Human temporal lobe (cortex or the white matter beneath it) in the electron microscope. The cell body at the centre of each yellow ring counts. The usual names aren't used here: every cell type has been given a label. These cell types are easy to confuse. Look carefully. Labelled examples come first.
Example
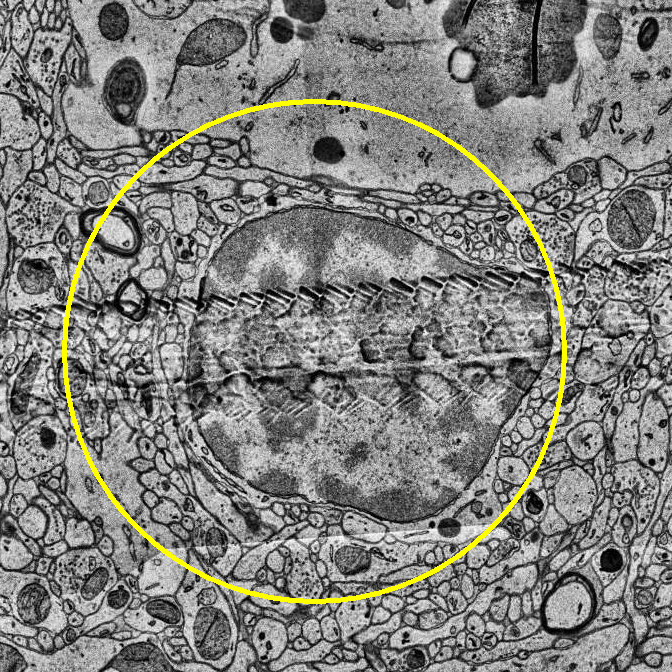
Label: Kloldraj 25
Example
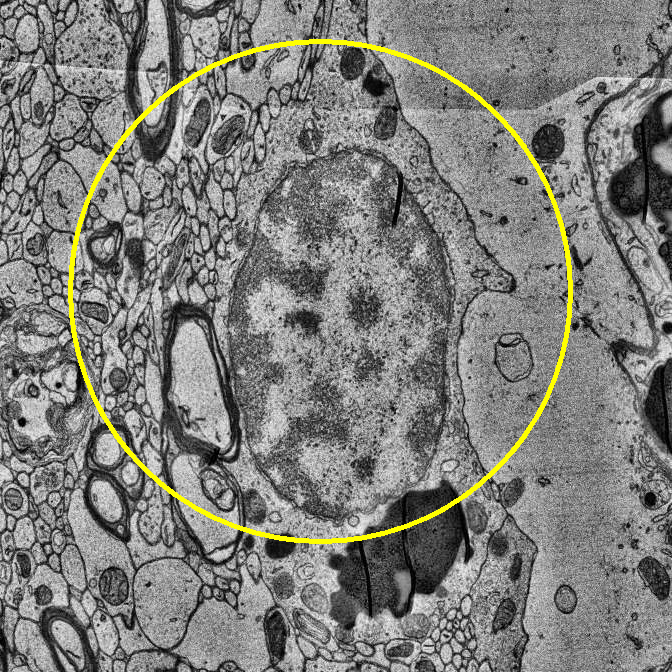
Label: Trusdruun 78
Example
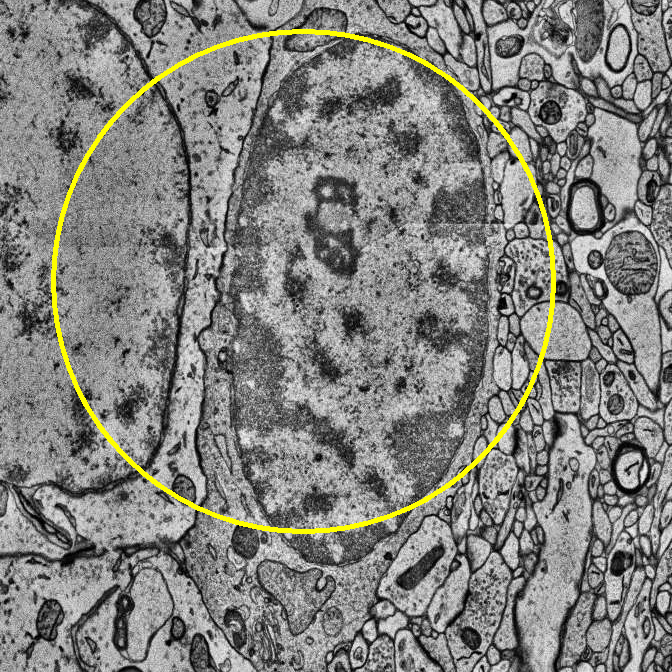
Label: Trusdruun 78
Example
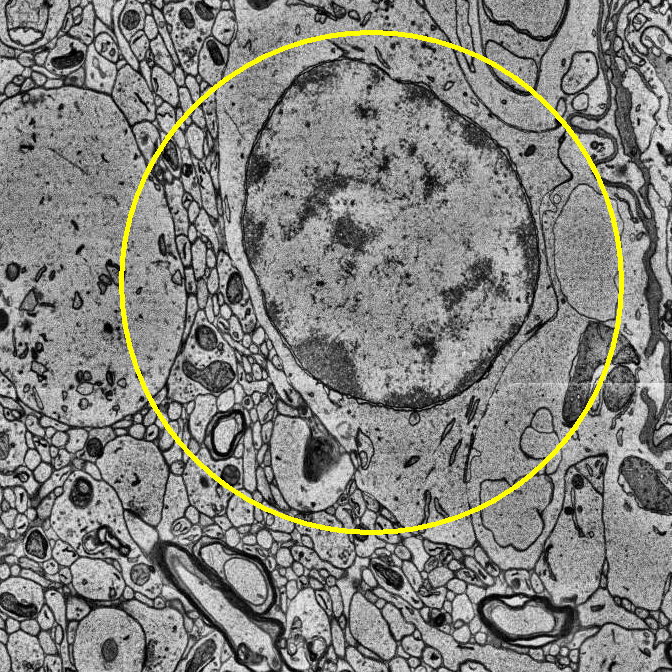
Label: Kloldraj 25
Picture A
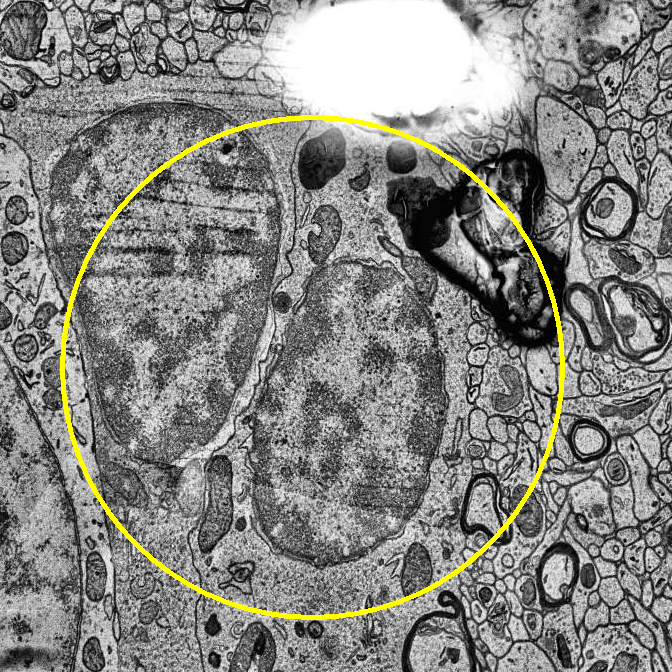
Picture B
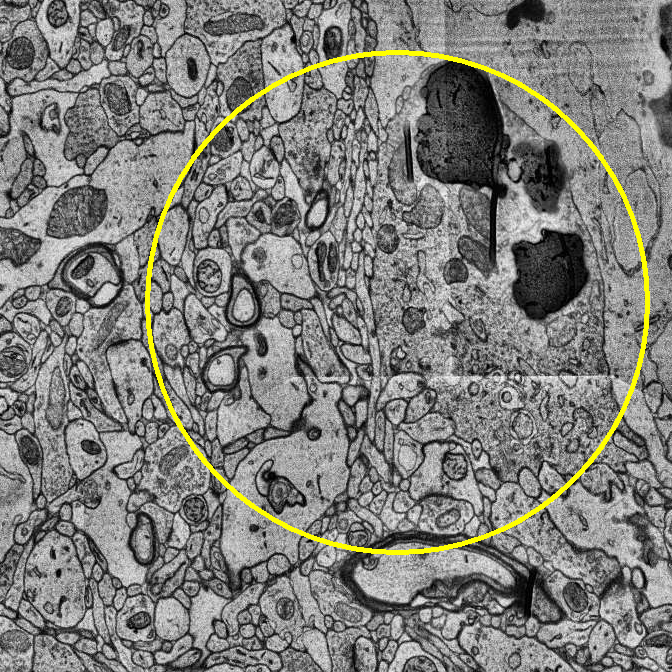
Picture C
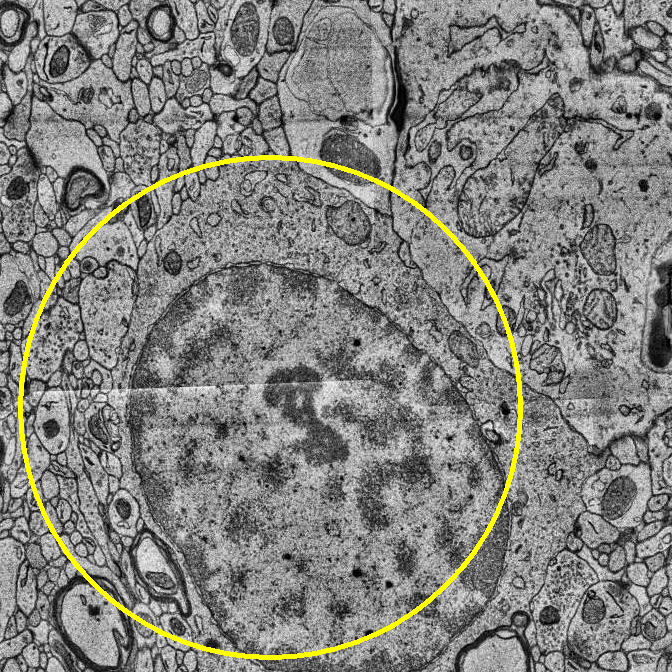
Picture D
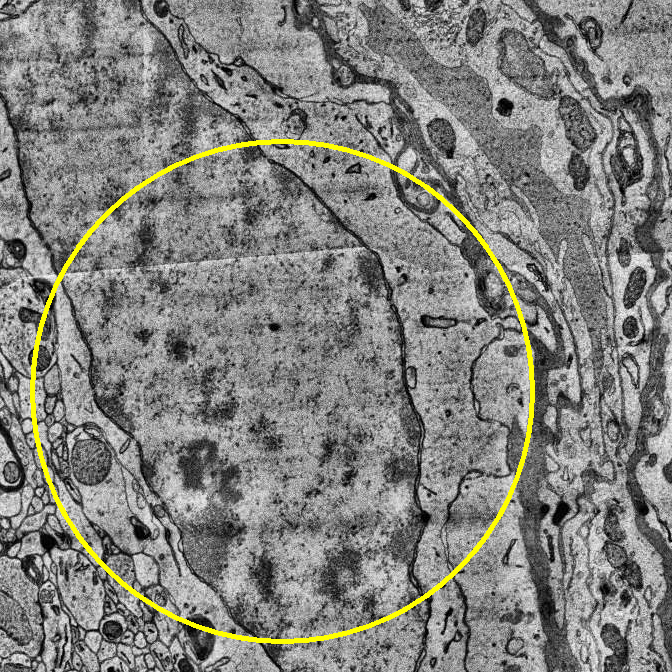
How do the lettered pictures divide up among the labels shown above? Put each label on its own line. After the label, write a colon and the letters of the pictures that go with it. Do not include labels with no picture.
Kloldraj 25: D
Trusdruun 78: A, B, C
